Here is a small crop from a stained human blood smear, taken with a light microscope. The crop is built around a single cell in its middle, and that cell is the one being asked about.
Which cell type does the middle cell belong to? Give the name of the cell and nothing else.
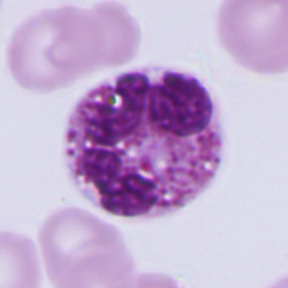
eosinophil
